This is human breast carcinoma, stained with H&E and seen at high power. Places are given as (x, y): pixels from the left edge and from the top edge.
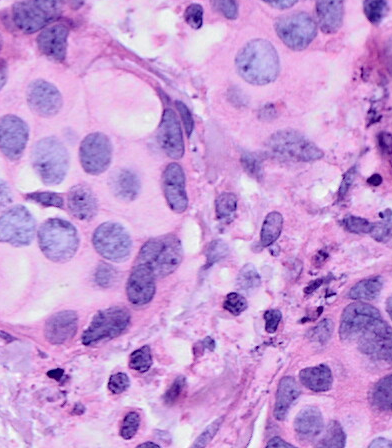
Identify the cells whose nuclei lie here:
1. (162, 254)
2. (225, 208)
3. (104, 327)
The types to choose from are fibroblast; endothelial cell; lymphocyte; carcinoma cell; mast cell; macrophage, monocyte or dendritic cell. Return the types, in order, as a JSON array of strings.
["carcinoma cell", "macrophage, monocyte or dendritic cell", "carcinoma cell"]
